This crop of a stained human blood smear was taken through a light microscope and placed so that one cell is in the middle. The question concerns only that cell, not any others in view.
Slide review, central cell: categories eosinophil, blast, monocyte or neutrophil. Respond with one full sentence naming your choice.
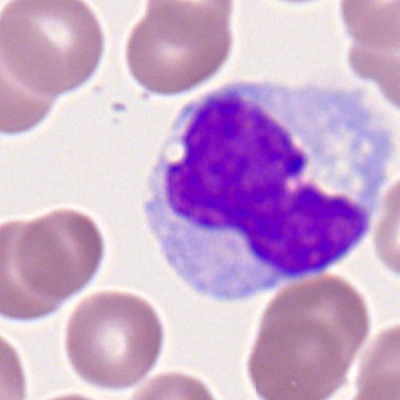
Located at the centre of the crop is a monocyte.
